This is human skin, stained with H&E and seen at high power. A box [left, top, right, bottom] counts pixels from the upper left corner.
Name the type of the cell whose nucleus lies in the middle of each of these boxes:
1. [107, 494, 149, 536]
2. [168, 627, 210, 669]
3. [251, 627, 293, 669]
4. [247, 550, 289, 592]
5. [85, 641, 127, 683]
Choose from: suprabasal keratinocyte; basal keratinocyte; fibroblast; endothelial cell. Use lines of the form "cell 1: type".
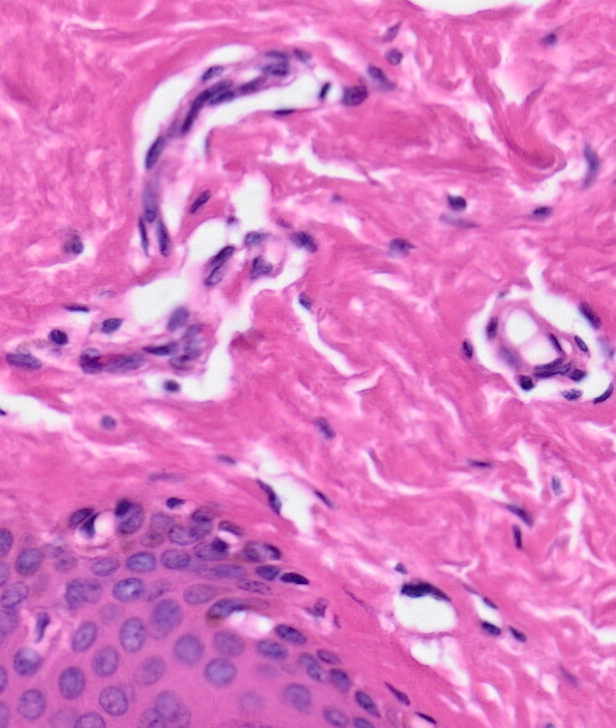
cell 1: basal keratinocyte
cell 2: suprabasal keratinocyte
cell 3: basal keratinocyte
cell 4: basal keratinocyte
cell 5: suprabasal keratinocyte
